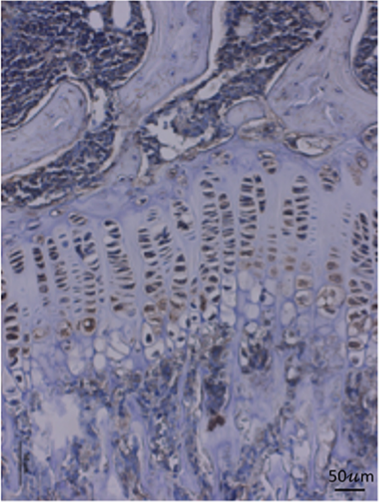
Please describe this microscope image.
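This section shows the growth plate of a long bone, with chondrocytes lying in lacunae within pale blue cartilage matrix and arranged in longitudinal columns. Along the columns the cells are small and flattened at one end and become larger, rounder and paler at the other, where they appear hypertrophic and vacuolated. Beyond the cartilage lie bone trabeculae enclosing marrow crowded with small, dark blue nucleated cells. Brown staining is moderate and patchy, present in a number of the column chondrocytes, while many other cells and the matrix remain blue.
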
